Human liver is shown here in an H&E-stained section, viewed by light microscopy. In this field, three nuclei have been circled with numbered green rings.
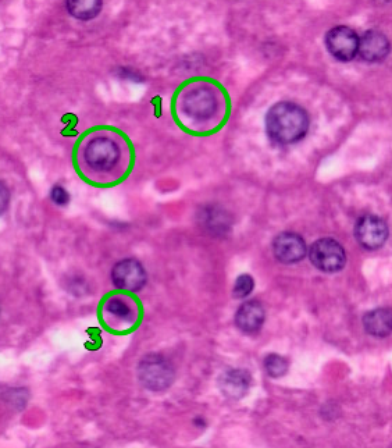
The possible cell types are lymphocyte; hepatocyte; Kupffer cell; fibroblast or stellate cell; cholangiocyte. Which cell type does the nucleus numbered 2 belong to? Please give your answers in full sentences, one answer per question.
The cell identified by number 2 is a hepatocyte.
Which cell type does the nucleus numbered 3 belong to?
In the tissue shown, cell 3 is a fibroblast or stellate cell.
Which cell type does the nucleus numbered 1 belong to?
The cell assigned the number 1 is a hepatocyte.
